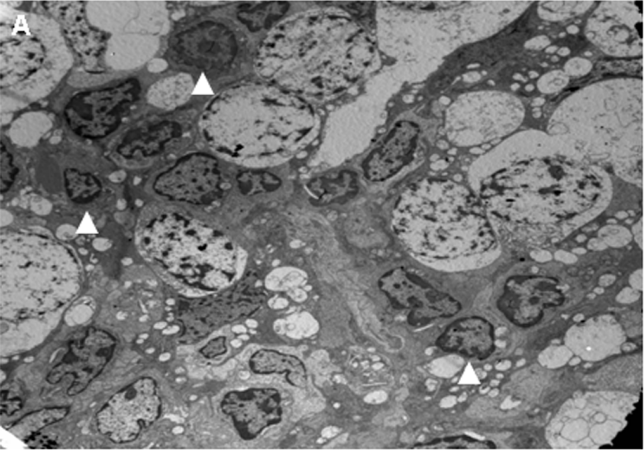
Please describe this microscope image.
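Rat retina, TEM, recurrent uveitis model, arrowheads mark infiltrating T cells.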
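The resident cells have large, round to oval, pale nuclei with finely dispersed chromatin and a few dark clumps. Between them lie many smaller cells with irregular, indented or lobed nuclei full of dense, dark, clumped chromatin and only a thin rim of cytoplasm. The tissue between cells is dark and fibrillar, and many round pale vacuole-like spaces of varying size are scattered throughout, giving the tissue a disrupted, swollen look.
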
